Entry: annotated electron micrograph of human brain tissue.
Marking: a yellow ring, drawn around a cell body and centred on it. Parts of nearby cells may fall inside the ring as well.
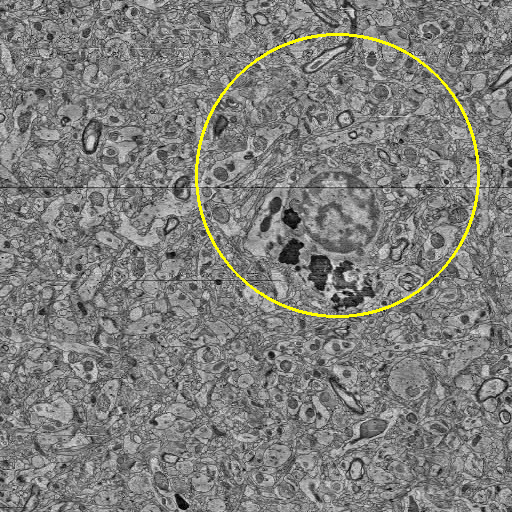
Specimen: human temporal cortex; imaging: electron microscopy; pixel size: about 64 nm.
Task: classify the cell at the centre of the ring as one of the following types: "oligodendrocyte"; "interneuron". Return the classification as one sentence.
The marked cell is classified as an oligodendrocyte.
